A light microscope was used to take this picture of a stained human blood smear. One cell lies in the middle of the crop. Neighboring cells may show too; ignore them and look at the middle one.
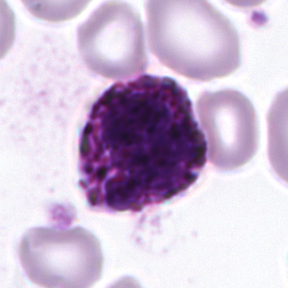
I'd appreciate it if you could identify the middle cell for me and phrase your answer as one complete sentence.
In the centre of this crop there is a basophil.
